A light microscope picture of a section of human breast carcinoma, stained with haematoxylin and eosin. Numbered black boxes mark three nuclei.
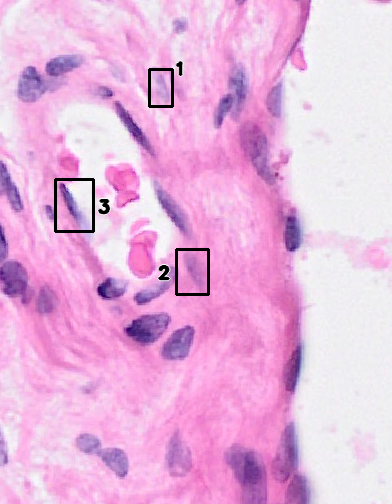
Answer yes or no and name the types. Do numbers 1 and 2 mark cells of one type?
No, that does not hold; cell 1 is a fibroblast and cell 2 is an endothelial cell.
